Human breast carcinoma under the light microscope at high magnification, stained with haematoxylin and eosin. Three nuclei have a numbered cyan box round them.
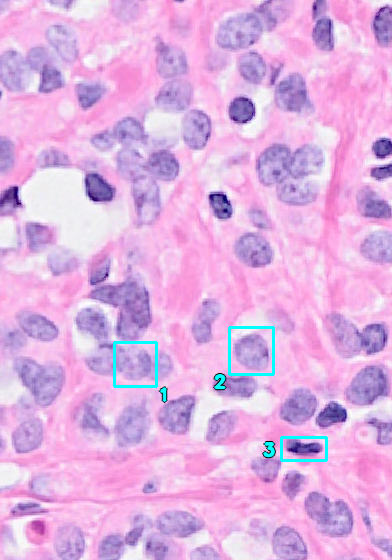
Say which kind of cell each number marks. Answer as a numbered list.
1. carcinoma cell
2. carcinoma cell
3. lymphocyte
